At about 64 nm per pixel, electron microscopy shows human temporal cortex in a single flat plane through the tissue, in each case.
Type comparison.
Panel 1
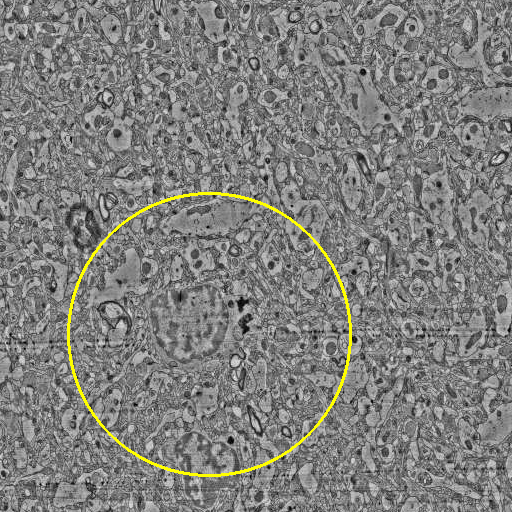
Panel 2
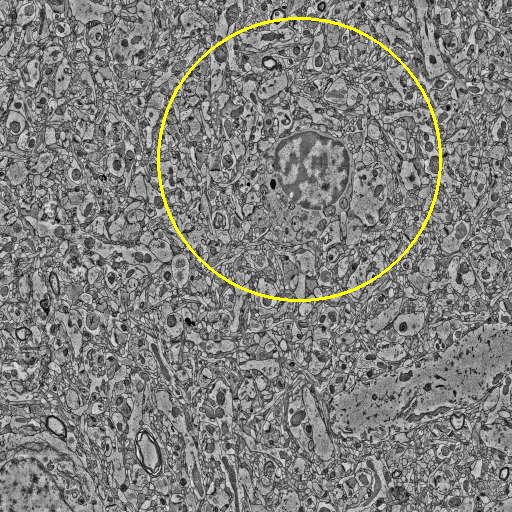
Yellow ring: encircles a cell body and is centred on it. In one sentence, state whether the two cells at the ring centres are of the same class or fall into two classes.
In these panels, the two cells at the ring centres are of the same class.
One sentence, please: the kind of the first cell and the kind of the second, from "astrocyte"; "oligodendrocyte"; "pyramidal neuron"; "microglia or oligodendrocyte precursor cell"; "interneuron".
In each of the two pictures, the ringed cell is an oligodendrocyte.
